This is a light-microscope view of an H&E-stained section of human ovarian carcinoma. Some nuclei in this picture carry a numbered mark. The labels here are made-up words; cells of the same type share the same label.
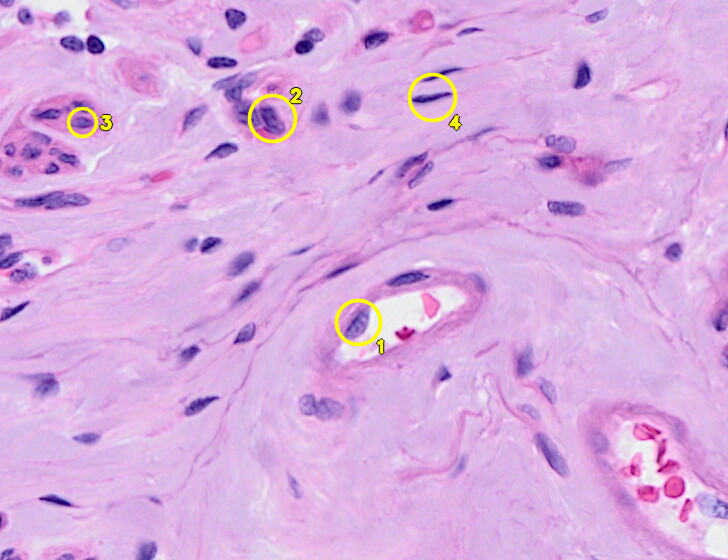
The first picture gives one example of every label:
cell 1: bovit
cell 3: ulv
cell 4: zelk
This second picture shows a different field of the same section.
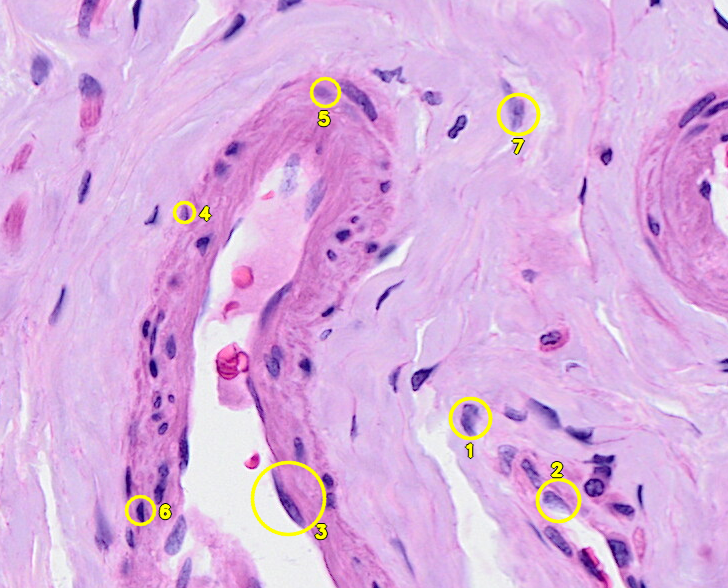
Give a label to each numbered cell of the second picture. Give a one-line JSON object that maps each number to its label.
{"1": "zelk", "2": "bovit", "3": "bovit", "4": "ulv", "5": "ulv", "6": "ulv", "7": "zelk"}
